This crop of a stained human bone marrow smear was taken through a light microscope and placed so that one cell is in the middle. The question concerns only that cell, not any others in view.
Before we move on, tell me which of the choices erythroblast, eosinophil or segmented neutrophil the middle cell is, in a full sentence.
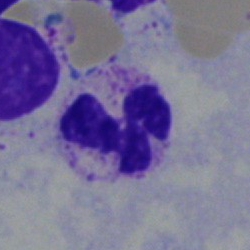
The cell the crop is centered on is a segmented neutrophil.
